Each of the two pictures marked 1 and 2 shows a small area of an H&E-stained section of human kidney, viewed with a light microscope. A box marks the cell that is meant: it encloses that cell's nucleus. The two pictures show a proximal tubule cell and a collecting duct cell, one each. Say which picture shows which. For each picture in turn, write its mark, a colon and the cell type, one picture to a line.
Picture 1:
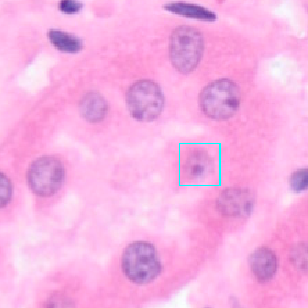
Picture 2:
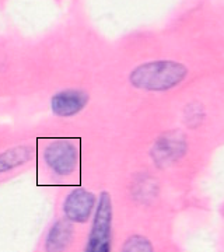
1: proximal tubule cell
2: collecting duct cell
